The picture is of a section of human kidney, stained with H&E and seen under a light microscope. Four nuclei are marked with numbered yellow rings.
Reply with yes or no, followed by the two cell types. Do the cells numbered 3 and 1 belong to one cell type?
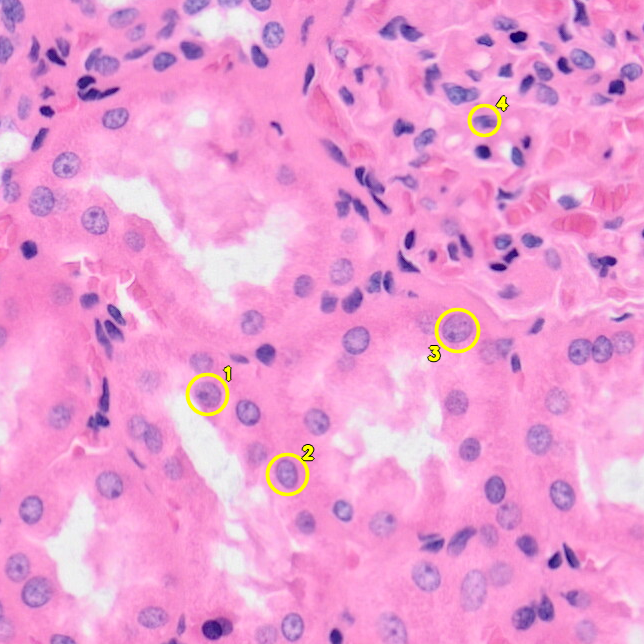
Yes, each of the two cells, 3 and 1, is among the proximal tubule cells.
